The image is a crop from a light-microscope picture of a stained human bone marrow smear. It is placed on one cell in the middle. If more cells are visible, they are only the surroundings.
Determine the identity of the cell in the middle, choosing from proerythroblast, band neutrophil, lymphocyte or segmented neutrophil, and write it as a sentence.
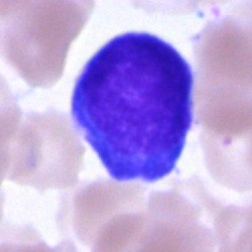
The central cell, amid any neighbouring cells, is a proerythroblast.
